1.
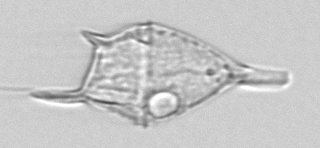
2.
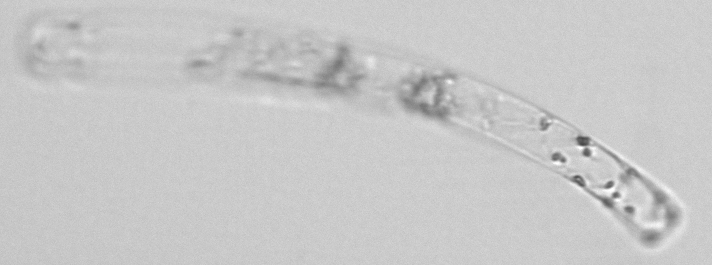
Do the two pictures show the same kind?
No: Tripos, then Guinardia.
